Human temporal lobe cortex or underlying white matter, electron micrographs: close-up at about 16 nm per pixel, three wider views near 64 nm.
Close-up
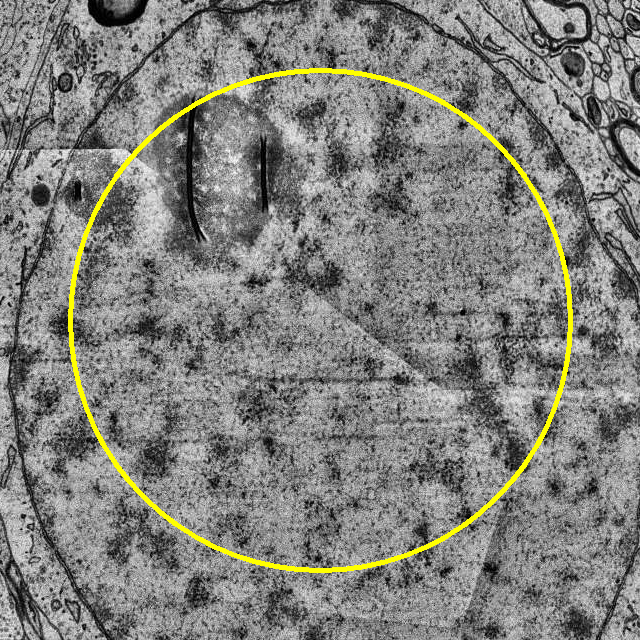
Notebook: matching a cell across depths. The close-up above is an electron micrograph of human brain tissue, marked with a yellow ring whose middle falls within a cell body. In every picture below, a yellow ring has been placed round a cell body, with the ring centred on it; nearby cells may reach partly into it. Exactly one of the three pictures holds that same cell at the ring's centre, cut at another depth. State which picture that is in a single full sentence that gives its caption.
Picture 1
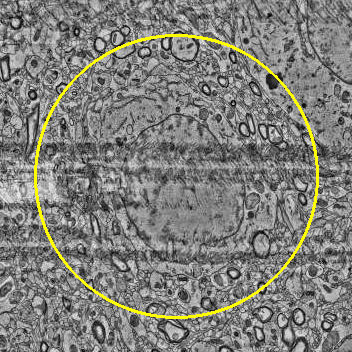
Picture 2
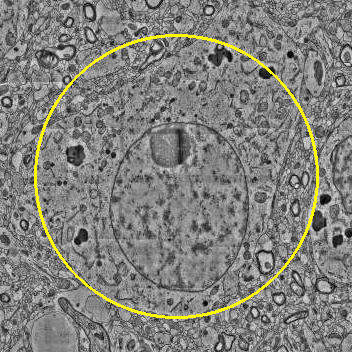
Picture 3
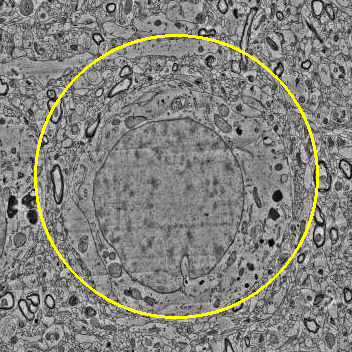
The close-up image matches the cell inside the ring of Picture 1.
